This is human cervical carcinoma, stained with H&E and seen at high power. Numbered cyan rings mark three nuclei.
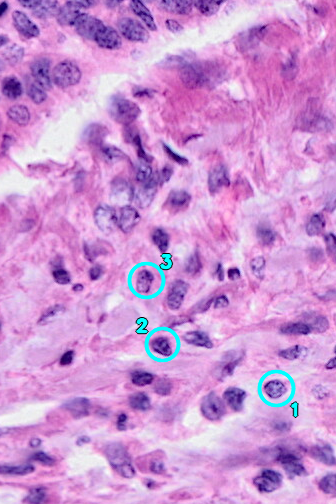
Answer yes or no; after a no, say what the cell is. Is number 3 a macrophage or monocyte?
Yes.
